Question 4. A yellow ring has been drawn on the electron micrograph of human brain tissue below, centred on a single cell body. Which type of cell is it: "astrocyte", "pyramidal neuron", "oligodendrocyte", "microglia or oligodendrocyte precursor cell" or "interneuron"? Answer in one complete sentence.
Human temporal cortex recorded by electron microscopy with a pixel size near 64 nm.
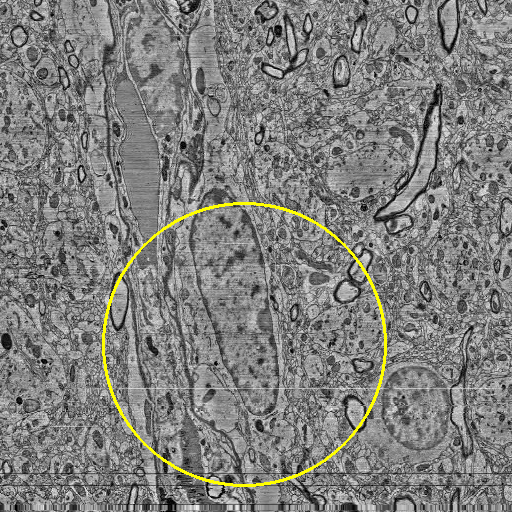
This cell body belongs to a microglial cell or oligodendrocyte precursor cell.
